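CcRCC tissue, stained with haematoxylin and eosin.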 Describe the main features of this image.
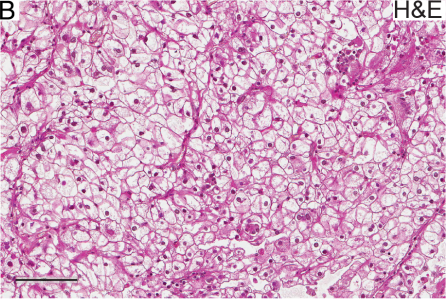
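Tumour tissue made of sheets and nests of clear cells. The cells are polygonal with distinct thin cell membranes and pale, nearly empty cytoplasm. Nuclei are small, round and dark, often lying centrally or at one side of the cell. A delicate network of thin pink septa with small vessels runs between the cell groups. No normal tubules or glomeruli are seen.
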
